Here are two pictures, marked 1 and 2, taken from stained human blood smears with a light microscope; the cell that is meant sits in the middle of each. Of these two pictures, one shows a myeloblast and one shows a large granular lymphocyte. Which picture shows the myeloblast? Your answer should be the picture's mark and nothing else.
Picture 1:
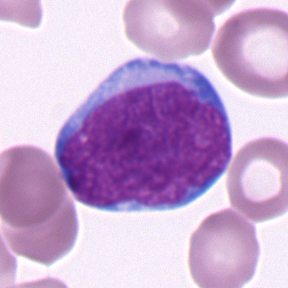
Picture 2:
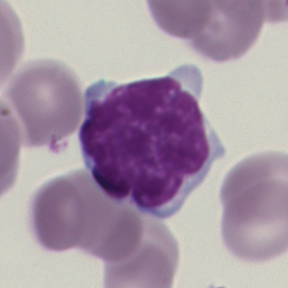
1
